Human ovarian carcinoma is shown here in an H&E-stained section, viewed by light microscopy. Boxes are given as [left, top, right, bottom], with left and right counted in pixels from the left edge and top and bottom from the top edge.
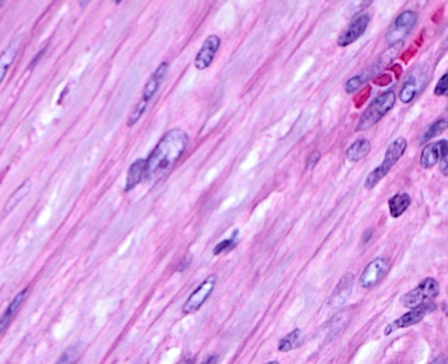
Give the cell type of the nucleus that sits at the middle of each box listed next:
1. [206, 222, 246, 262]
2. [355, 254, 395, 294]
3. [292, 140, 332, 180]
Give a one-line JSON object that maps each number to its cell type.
{"1": "macrophage or monocyte", "2": "fibroblast", "3": "fibroblast"}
